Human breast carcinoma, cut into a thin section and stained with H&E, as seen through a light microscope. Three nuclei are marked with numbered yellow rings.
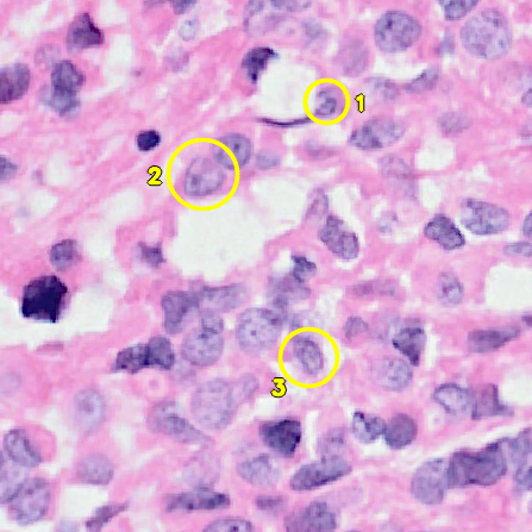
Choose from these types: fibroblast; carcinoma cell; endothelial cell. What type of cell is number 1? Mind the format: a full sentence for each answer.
The cell that is numbered 1 is an endothelial cell.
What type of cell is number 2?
The cell identified by number 2 is a carcinoma cell.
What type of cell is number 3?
Number 3 among the marked cells is a carcinoma cell.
